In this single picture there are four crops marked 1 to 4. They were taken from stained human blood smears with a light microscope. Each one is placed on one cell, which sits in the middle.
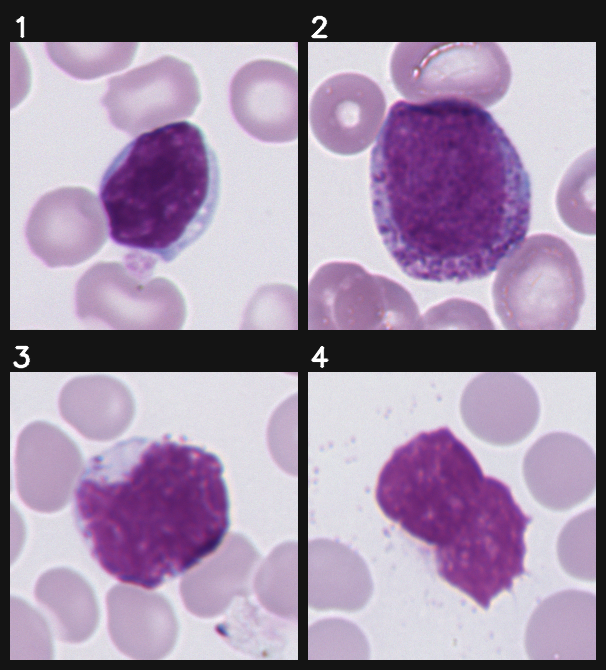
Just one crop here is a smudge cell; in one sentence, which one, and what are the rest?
While crop 1 is a typical lymphocyte, crop 2 is a promyelocyte and crop 3 is a large granular lymphocyte, crop 4 shows a smudge cell.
